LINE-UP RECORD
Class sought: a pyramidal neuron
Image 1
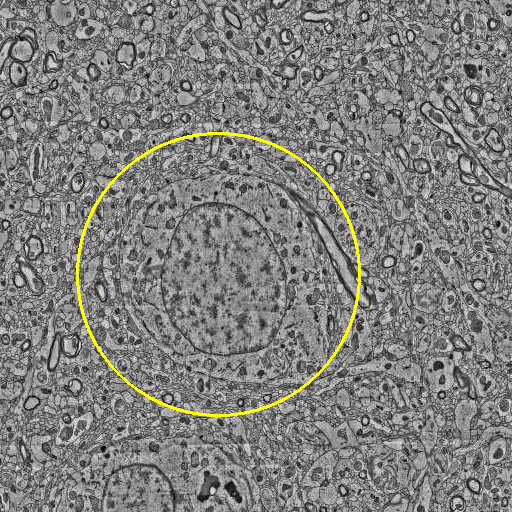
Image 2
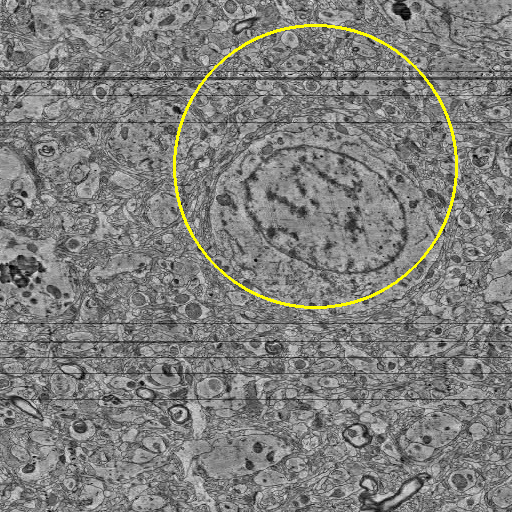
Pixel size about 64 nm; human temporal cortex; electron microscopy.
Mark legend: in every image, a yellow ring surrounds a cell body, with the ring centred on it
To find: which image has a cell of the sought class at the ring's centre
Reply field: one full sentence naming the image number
The ring-centred cell of image 2 belongs to the class sought.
